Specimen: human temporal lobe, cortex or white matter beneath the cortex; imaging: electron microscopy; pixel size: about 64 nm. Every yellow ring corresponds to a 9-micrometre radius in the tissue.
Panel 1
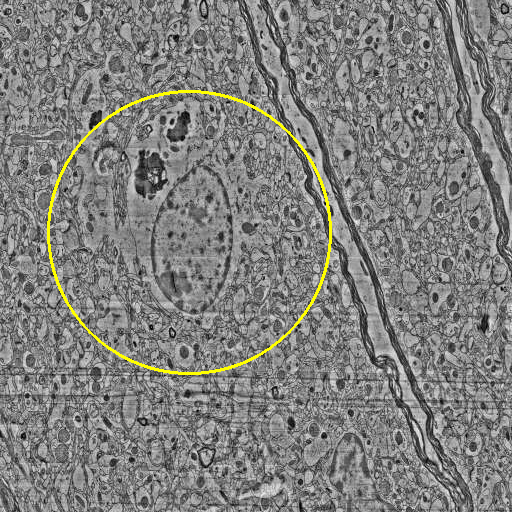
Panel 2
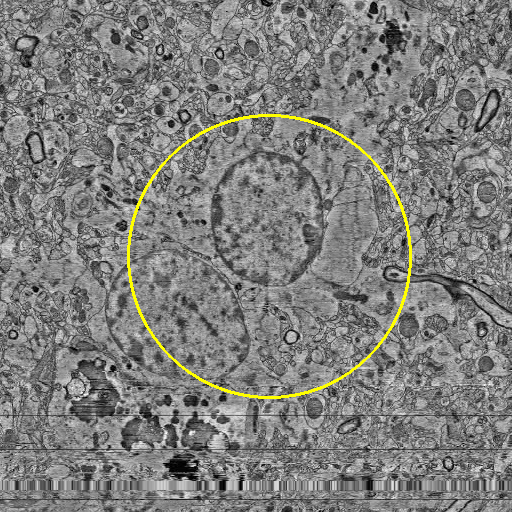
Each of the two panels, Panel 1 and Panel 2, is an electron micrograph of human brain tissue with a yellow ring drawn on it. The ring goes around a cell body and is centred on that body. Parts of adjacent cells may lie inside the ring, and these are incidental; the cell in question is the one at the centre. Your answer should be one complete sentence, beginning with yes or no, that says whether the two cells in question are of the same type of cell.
Yes, the two cells are of the same type.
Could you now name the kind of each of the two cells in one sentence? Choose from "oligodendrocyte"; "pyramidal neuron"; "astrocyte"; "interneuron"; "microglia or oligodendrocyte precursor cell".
Both cells are the same kind, each one being an astrocyte.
